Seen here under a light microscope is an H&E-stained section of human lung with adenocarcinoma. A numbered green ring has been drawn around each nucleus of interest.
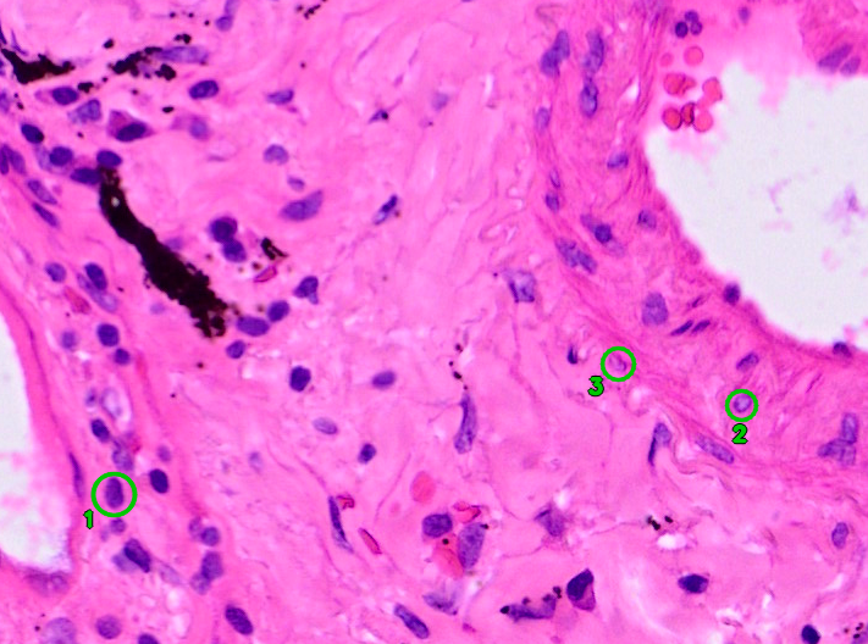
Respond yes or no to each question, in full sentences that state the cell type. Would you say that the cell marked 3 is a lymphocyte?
No, the cell given number 3 is a smooth muscle cell or pericyte, as opposed to a lymphocyte.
